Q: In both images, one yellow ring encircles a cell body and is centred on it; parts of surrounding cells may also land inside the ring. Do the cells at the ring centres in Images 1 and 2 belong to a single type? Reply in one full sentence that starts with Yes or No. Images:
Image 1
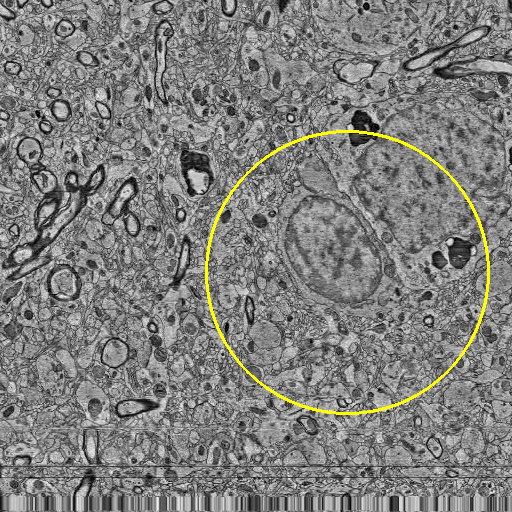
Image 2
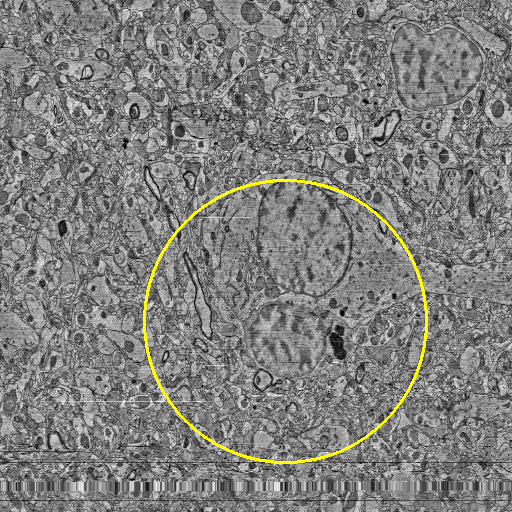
Yes, the cells at the ring centres in Images 1 and 2 are of a single type.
